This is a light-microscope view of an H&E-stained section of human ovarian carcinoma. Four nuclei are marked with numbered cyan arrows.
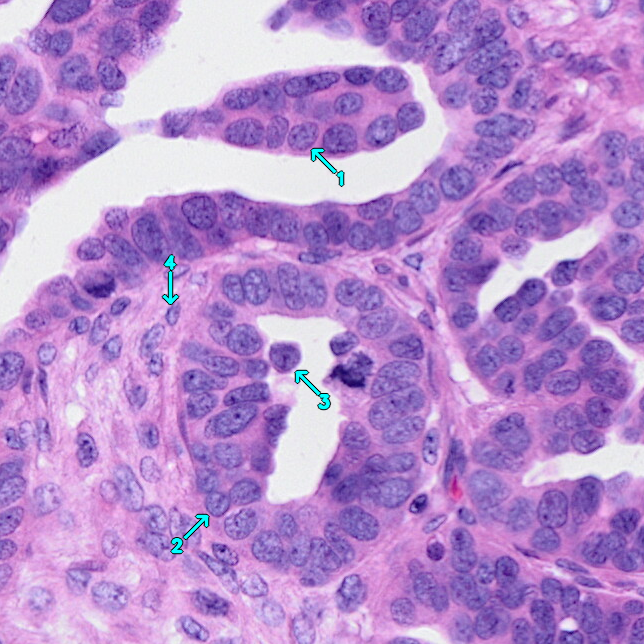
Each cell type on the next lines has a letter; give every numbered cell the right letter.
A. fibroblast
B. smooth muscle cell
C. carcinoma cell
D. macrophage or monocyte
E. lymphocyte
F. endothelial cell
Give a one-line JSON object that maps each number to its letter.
{"1": "C", "2": "C", "3": "C", "4": "A"}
